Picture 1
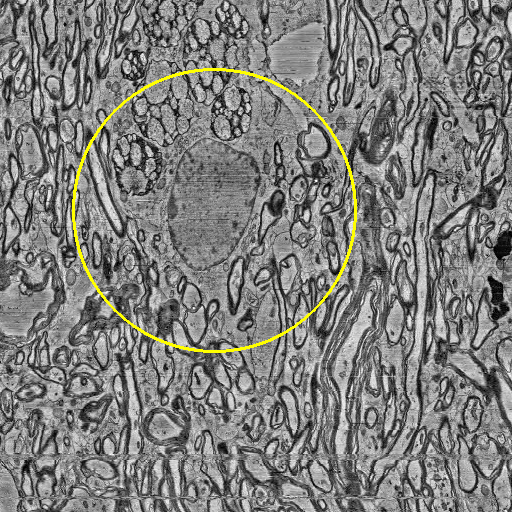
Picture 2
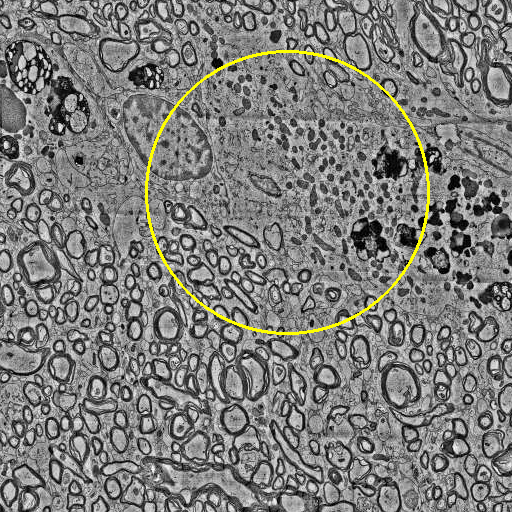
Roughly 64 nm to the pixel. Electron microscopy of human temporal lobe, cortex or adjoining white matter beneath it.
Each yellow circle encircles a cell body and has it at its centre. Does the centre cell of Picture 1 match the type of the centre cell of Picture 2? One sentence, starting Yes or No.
Yes, the cell centred in Picture 1 and the one in Picture 2 share a type.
